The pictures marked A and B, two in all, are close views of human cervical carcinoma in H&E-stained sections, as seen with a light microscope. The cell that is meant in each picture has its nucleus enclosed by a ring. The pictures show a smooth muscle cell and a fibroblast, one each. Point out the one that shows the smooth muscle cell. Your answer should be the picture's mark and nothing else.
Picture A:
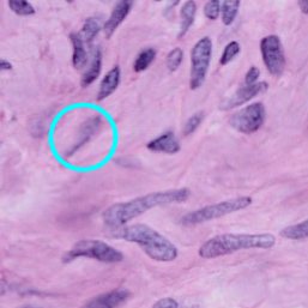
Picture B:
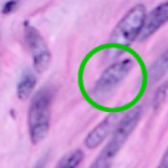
B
